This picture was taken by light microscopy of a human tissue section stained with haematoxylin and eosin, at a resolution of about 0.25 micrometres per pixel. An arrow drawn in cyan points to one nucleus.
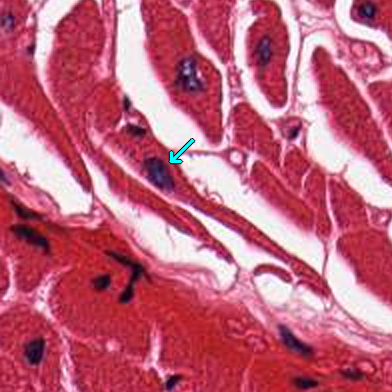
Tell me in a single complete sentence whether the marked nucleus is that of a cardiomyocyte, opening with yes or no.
Yes, the cell that houses the marked nucleus is a cardiomyocyte.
